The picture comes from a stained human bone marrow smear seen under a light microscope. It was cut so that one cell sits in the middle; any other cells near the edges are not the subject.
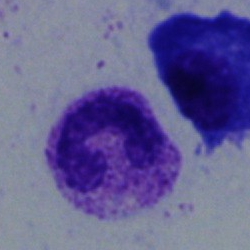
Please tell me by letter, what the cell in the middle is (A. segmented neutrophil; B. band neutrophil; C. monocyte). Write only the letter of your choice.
B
